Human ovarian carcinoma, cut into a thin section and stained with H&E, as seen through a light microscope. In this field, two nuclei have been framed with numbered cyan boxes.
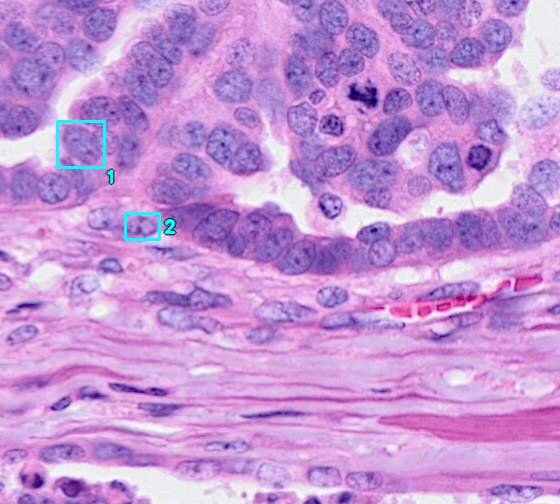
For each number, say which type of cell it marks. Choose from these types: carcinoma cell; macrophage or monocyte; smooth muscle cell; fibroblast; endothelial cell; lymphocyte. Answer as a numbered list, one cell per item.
1. carcinoma cell
2. fibroblast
